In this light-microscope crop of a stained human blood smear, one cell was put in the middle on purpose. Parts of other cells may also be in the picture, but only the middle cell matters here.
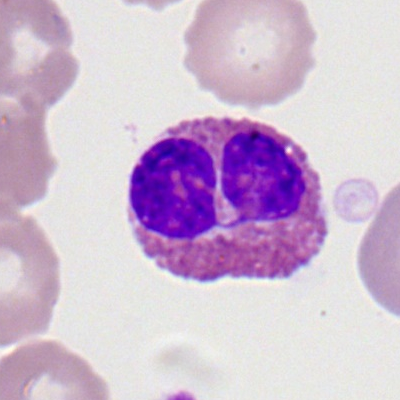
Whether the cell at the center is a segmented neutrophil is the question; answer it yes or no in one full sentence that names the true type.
No, instead of a segmented neutrophil, the centred cell represents an eosinophil.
